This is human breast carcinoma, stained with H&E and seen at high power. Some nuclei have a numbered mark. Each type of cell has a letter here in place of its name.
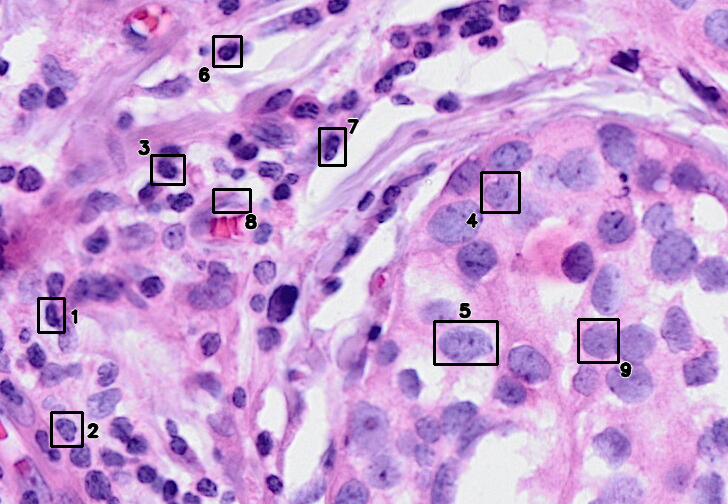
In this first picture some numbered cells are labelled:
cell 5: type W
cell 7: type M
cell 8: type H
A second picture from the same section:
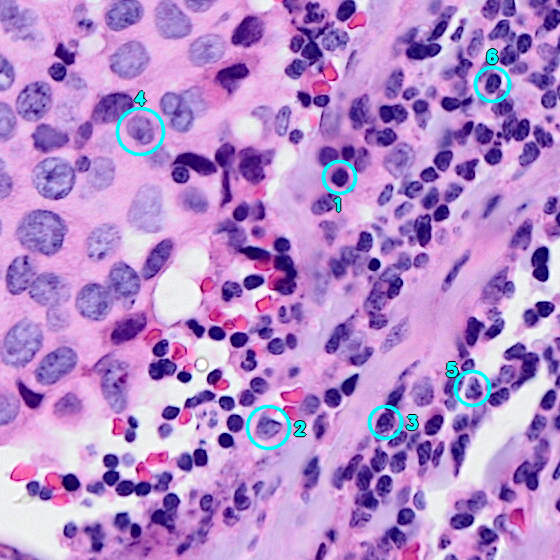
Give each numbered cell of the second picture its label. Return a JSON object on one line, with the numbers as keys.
{"1": "type M", "2": "type H", "3": "type M", "4": "type W", "5": "type M", "6": "type M"}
